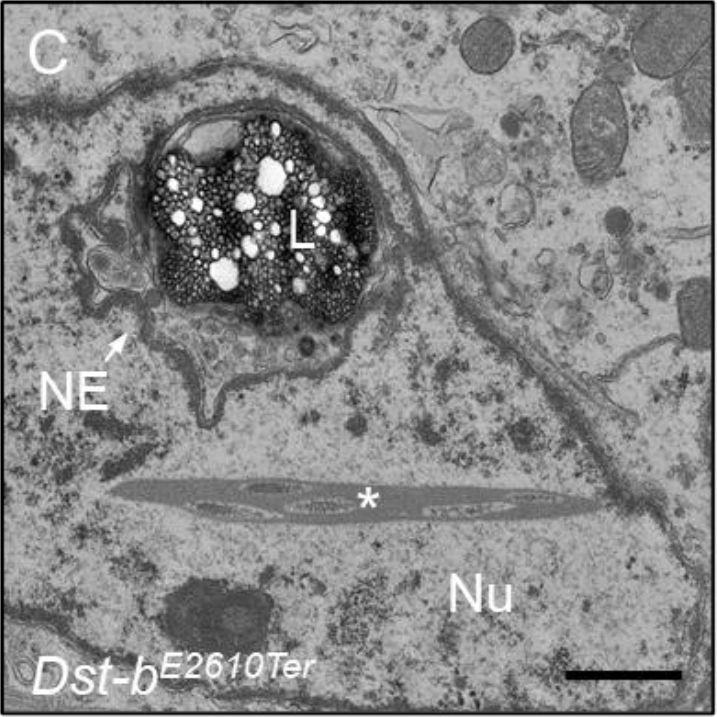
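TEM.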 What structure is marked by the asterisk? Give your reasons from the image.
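Crystalline inclusions. A long, narrow, spindle-shaped dense body lies within the nucleoplasm.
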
